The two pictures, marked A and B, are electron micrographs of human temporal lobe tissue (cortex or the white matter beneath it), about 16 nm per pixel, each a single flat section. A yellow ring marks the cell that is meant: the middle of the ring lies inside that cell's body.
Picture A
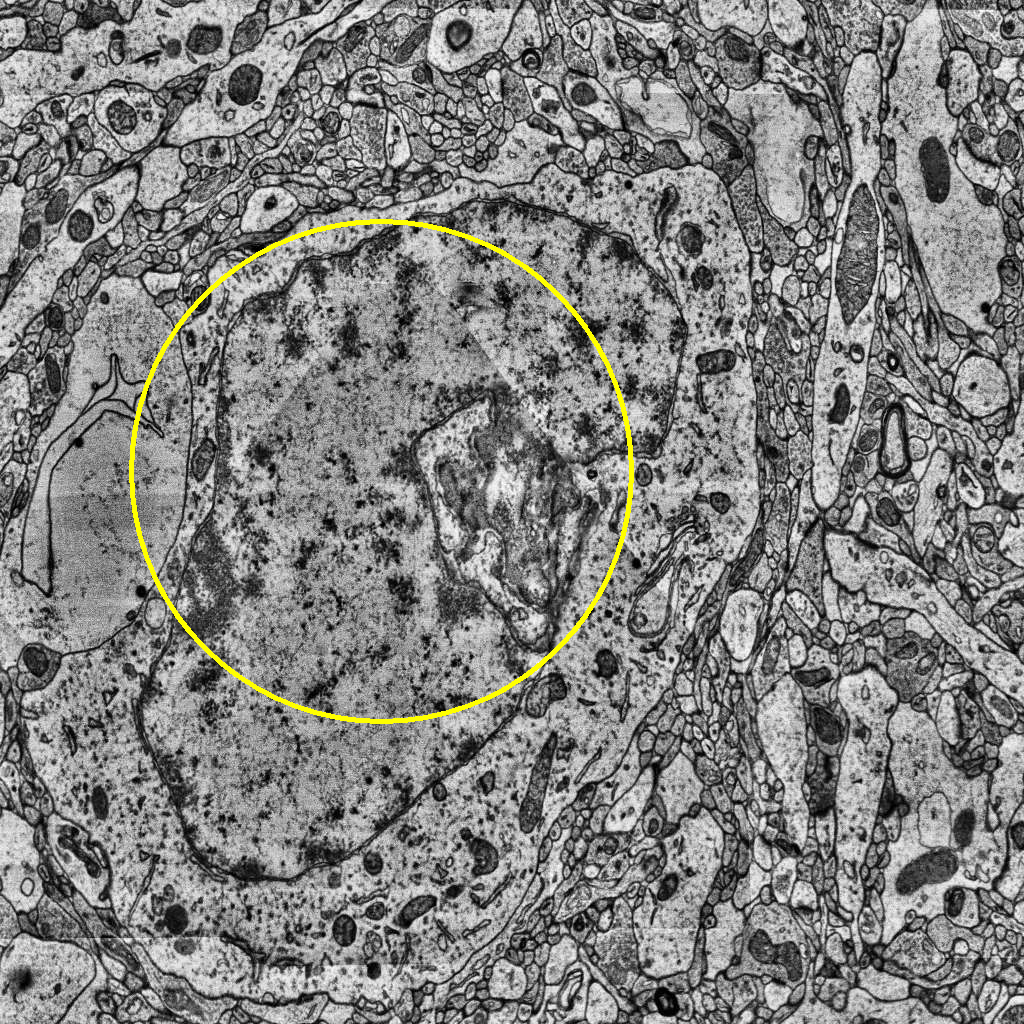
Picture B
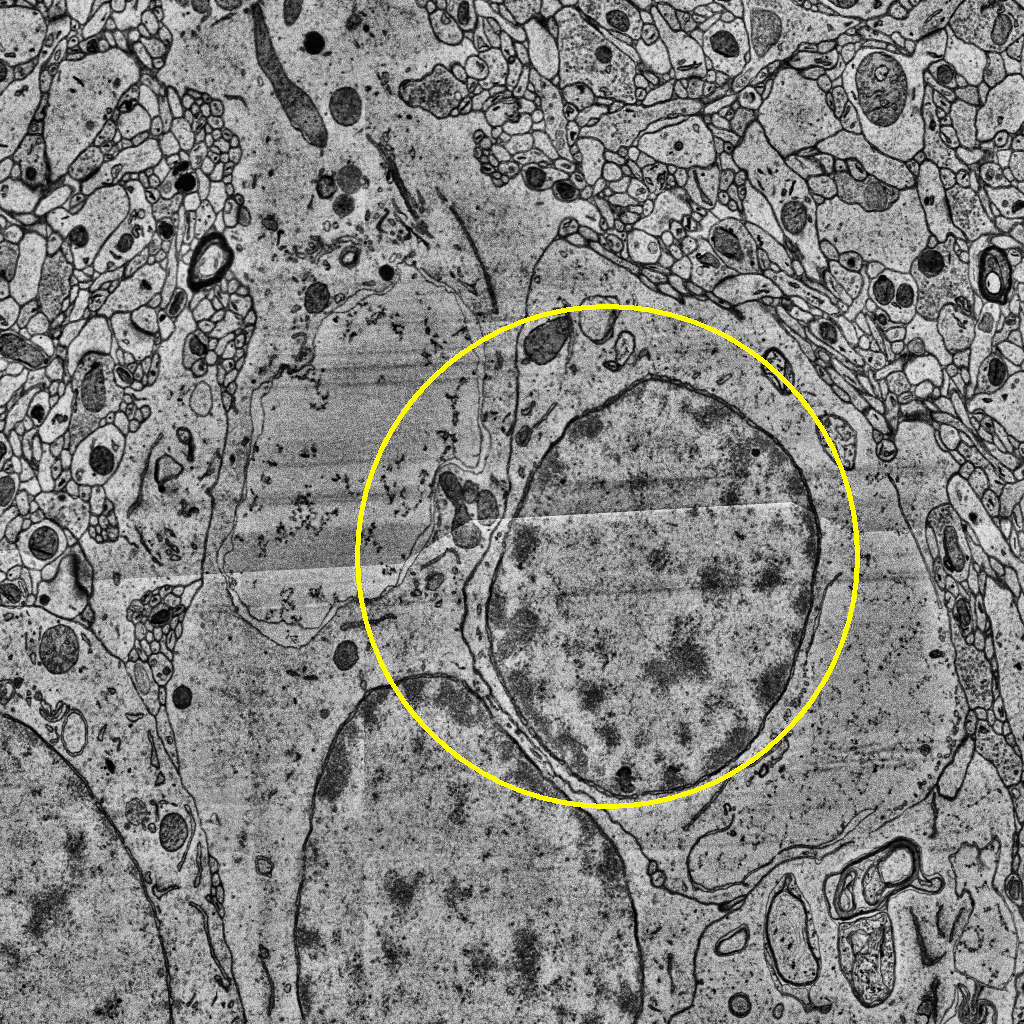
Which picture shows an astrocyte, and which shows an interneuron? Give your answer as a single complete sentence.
Picture A shows an interneuron and picture B shows an astrocyte.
